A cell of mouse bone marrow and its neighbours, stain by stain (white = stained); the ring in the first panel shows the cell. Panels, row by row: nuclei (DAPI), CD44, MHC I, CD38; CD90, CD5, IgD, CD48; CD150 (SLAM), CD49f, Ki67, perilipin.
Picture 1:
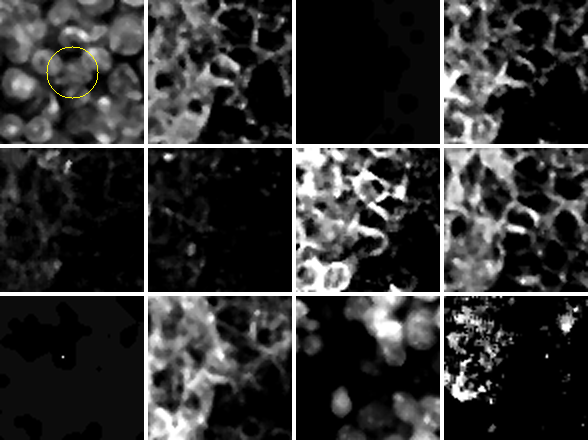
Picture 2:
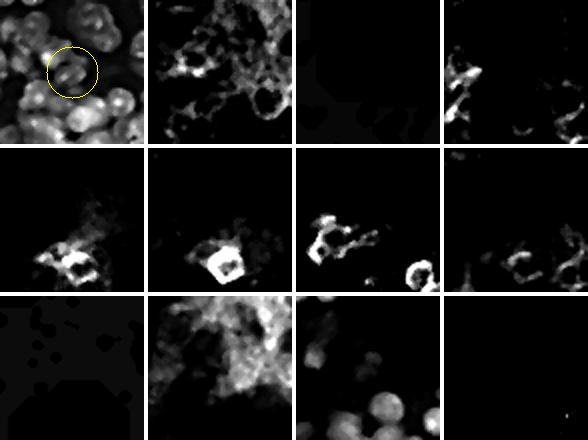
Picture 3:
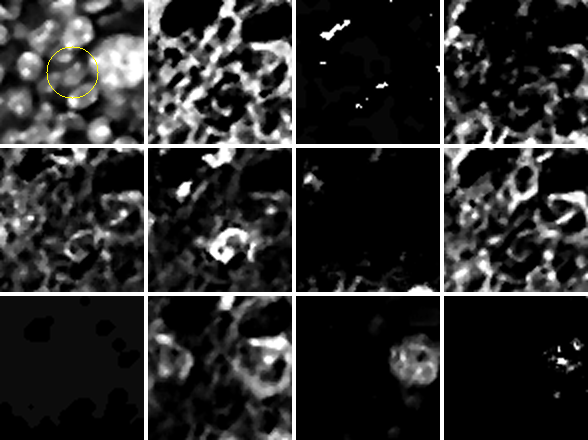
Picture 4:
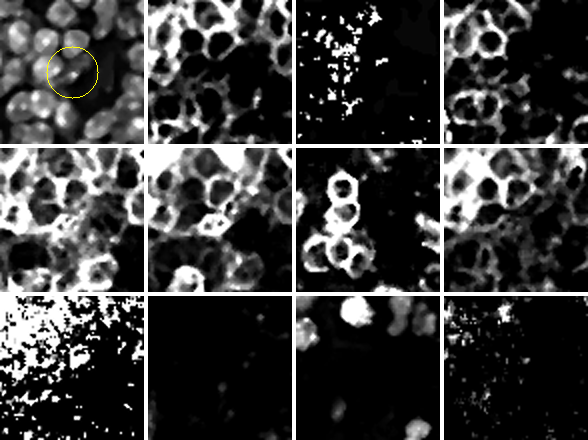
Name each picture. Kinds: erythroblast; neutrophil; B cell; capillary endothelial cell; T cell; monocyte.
(1) monocyte
(2) erythroblast
(3) neutrophil
(4) T cell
